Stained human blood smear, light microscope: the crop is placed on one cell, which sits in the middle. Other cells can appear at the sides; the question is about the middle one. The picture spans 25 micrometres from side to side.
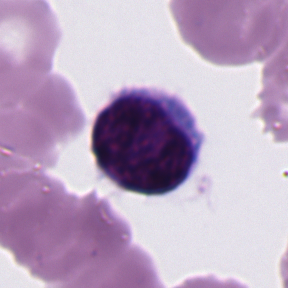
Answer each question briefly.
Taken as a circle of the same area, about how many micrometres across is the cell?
10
